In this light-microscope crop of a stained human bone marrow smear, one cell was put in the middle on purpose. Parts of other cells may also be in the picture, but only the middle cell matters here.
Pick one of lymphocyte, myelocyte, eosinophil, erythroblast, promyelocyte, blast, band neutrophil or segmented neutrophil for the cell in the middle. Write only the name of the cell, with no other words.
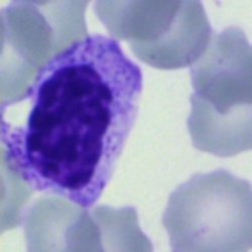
myelocyte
